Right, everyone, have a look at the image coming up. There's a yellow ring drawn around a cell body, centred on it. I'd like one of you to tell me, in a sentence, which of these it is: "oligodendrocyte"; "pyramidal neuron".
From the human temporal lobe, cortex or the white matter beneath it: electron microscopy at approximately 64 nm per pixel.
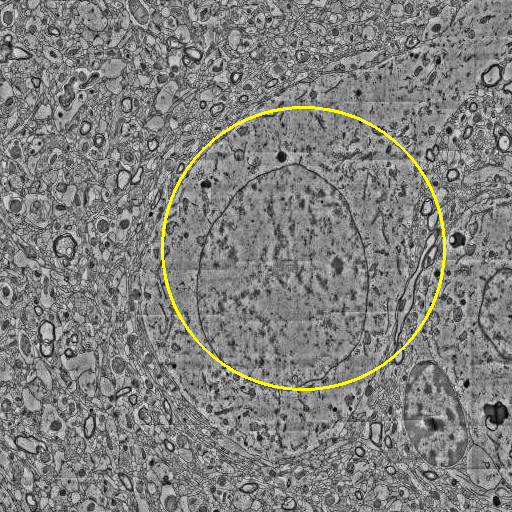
The yellow ring sits on a pyramidal neuron.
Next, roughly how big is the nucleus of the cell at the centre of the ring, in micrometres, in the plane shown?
Roughly 15 by 11 micrometres in this plane, for the nucleus of the ringed cell.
